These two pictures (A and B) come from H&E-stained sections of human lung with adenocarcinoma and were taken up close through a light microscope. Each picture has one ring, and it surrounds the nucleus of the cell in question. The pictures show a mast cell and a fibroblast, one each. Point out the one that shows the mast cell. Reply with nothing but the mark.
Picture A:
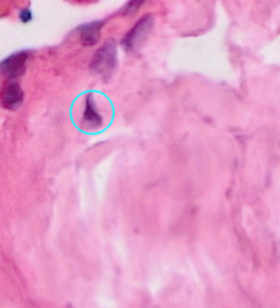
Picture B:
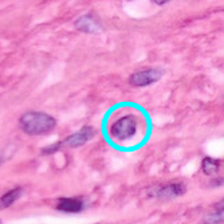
B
